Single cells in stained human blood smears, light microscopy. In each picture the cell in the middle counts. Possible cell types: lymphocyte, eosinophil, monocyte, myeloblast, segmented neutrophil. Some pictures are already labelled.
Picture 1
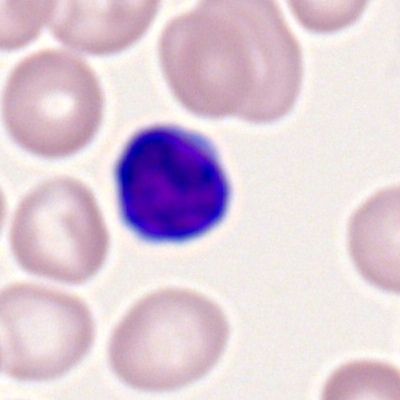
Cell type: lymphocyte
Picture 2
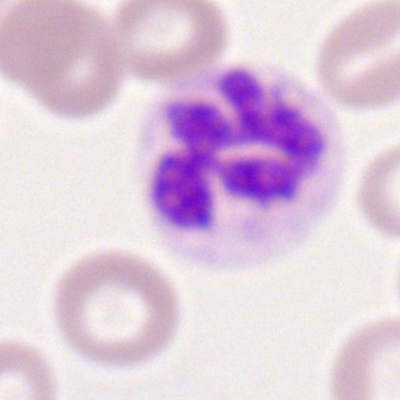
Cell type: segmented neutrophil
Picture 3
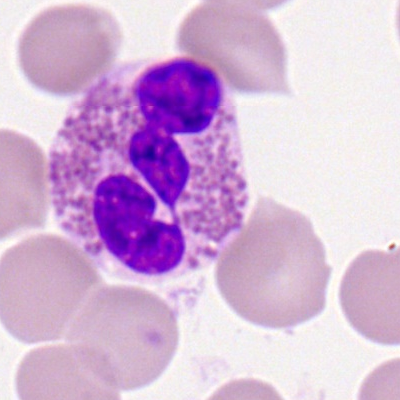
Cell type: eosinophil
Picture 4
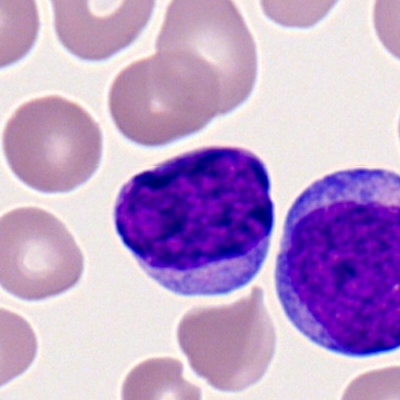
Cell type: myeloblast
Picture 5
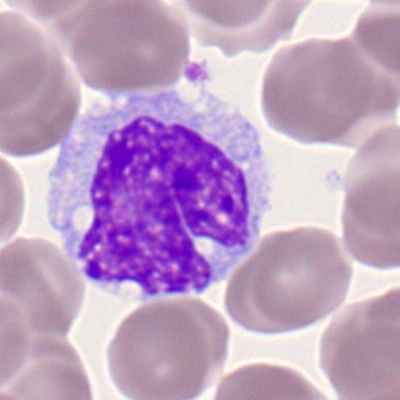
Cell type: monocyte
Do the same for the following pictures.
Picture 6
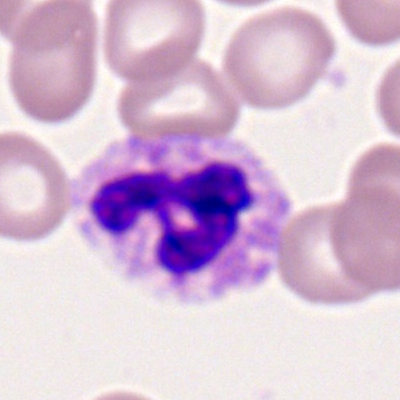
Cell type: segmented neutrophil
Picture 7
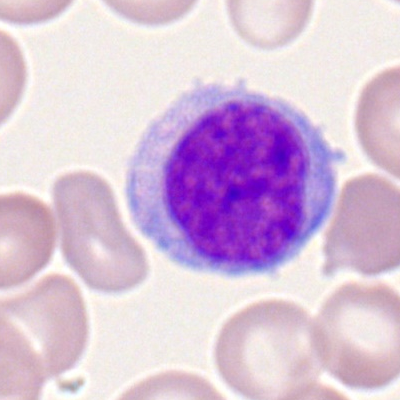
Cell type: monocyte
